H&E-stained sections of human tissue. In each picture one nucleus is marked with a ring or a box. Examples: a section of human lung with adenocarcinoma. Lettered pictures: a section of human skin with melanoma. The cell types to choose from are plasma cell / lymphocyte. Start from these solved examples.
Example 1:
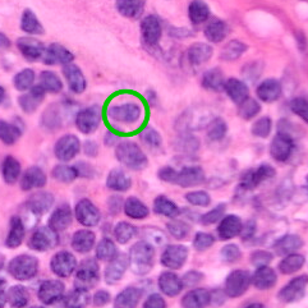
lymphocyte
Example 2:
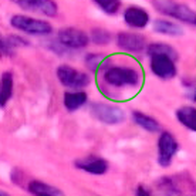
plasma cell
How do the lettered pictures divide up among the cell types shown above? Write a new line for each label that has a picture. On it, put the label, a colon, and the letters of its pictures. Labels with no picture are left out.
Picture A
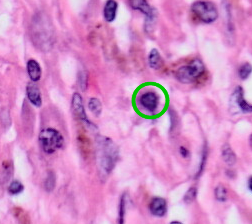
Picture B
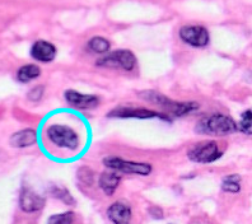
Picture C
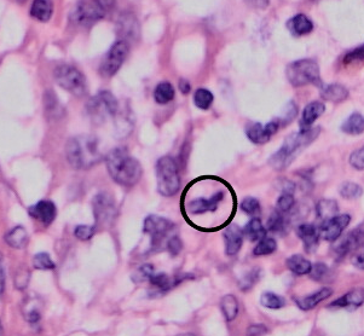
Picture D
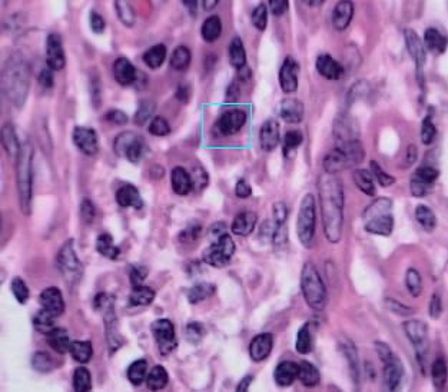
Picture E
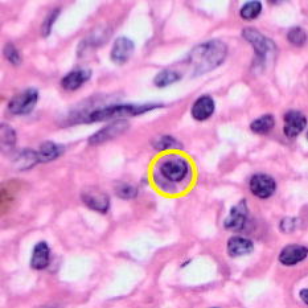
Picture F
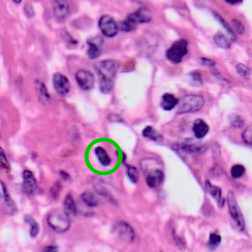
plasma cell: A, D, E
lymphocyte: B, C, F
